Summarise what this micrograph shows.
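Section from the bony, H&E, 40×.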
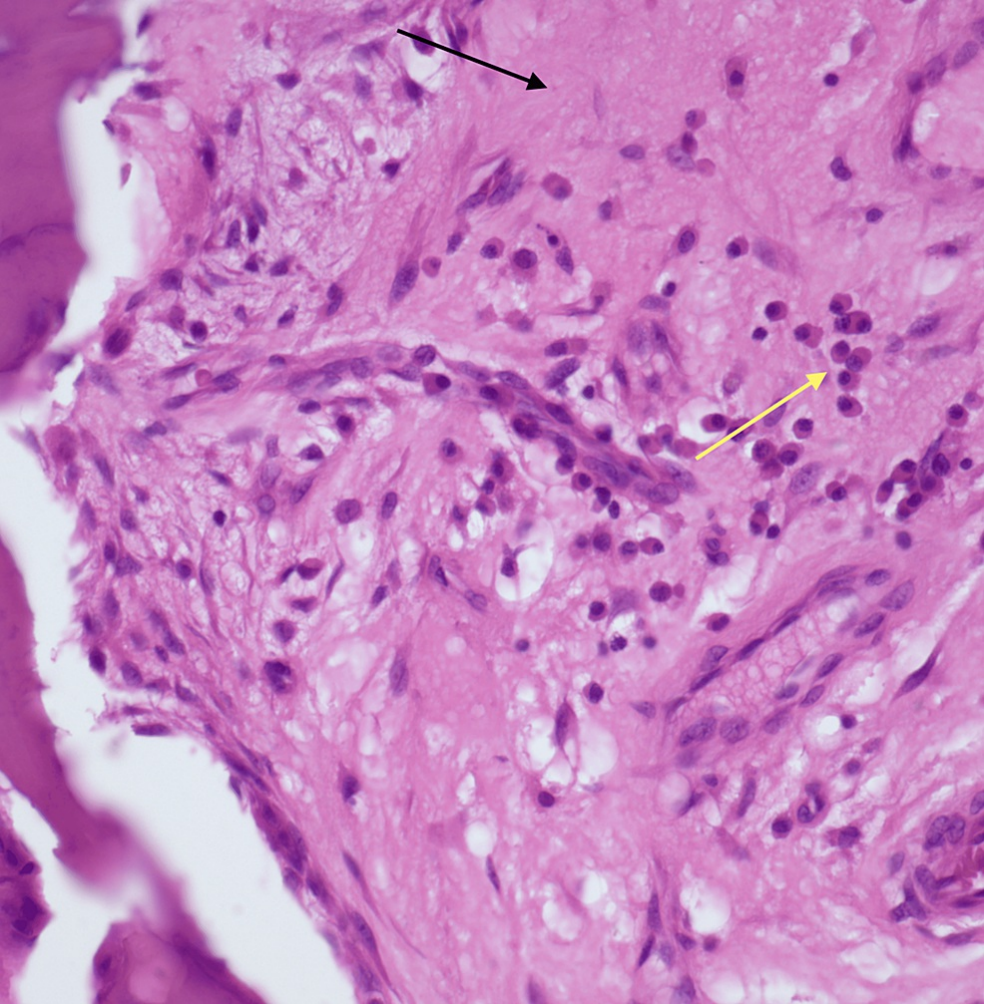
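The space between bone trabeculae is filled by loose, pink fibrous tissue in place of normal marrow, with scattered chronic inflammatory cells. Dense, deeply eosinophilic bone fragments border the tissue along the left edge. The stroma is a pale pink, finely fibrillary matrix containing spindle-shaped fibroblast nuclei and small, thin-walled vessels lined by elongated nuclei. Small round cells with dark round nuclei, including plasma cells and lymphocytes, are dispersed through the stroma and gather in a small cluster in the right-central area. Scattered clear, vacuolated spaces give parts of the stroma a bubbly appearance, and no fat cells or blood-forming marrow elements are seen.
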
